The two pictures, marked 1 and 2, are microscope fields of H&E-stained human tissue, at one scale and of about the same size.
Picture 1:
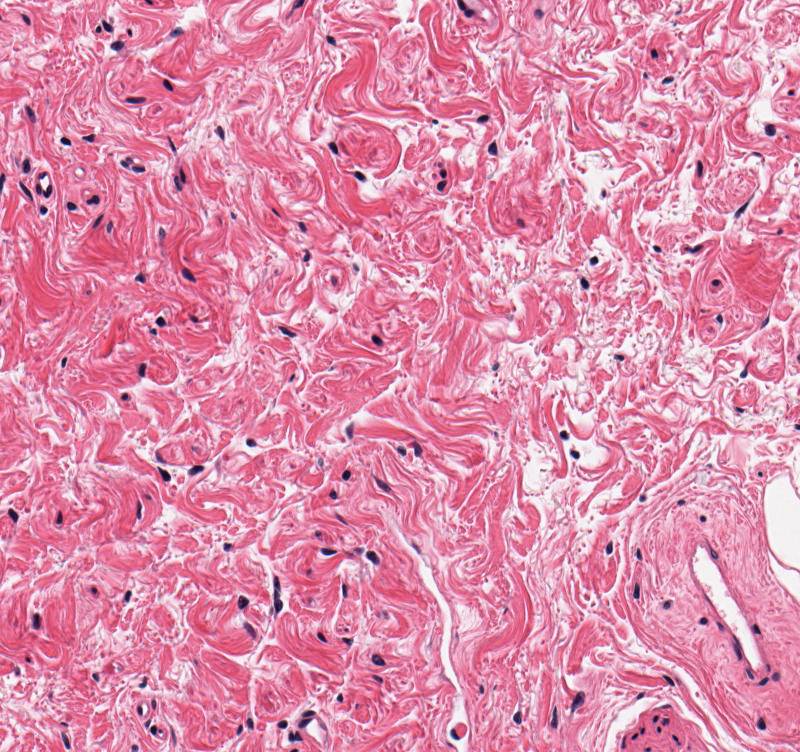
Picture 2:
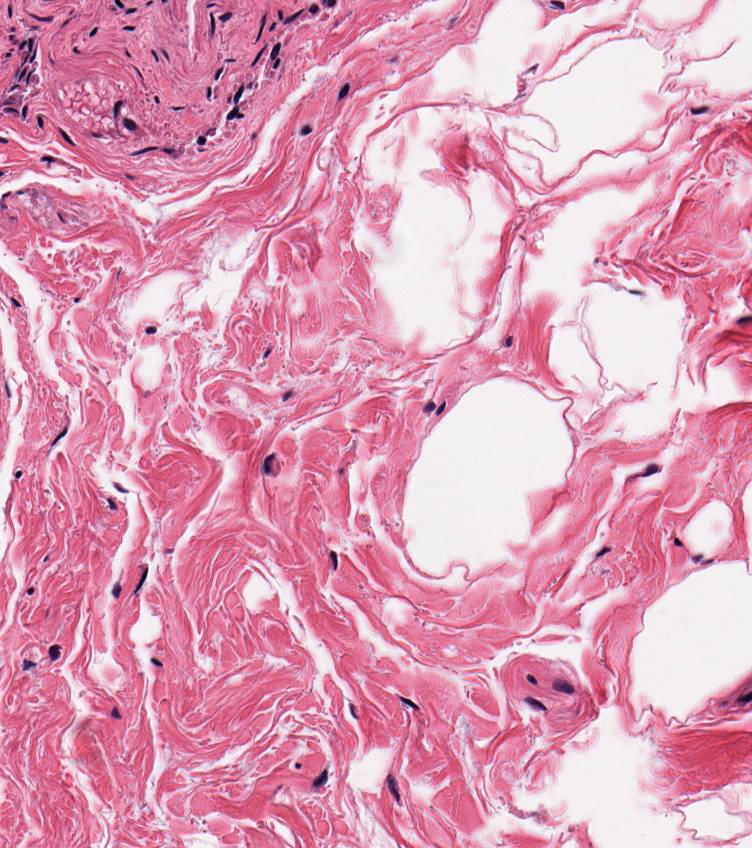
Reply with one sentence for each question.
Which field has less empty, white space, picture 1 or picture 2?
It is picture 1 that stained tissue fills more completely.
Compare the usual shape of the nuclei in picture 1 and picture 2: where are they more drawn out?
The nuclei are more elongated in picture 2.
